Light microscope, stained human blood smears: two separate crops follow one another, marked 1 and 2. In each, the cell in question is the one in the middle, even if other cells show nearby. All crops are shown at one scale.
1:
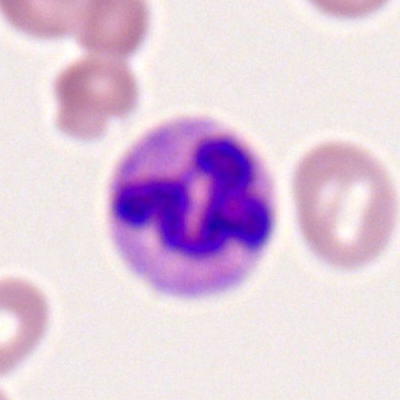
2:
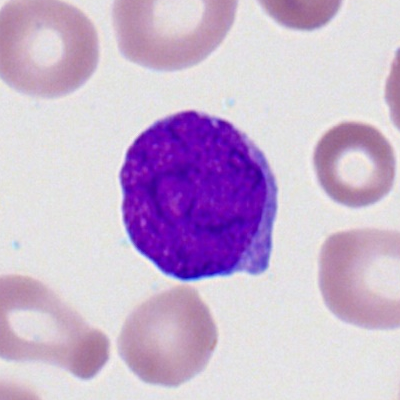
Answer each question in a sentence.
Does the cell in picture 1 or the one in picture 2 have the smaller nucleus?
Smaller is the nucleus in picture 1, and the other is about 2 times as large in area.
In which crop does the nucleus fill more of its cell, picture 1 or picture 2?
The nucleus fills more of the cell in picture 2 than in picture 1.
